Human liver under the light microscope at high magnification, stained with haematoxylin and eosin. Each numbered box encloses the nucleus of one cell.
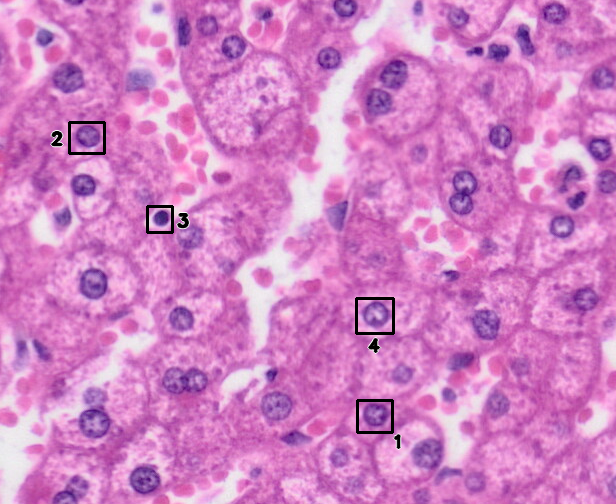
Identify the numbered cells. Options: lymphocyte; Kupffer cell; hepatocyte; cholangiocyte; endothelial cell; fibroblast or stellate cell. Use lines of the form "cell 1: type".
cell 1: hepatocyte
cell 2: hepatocyte
cell 3: lymphocyte
cell 4: hepatocyte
